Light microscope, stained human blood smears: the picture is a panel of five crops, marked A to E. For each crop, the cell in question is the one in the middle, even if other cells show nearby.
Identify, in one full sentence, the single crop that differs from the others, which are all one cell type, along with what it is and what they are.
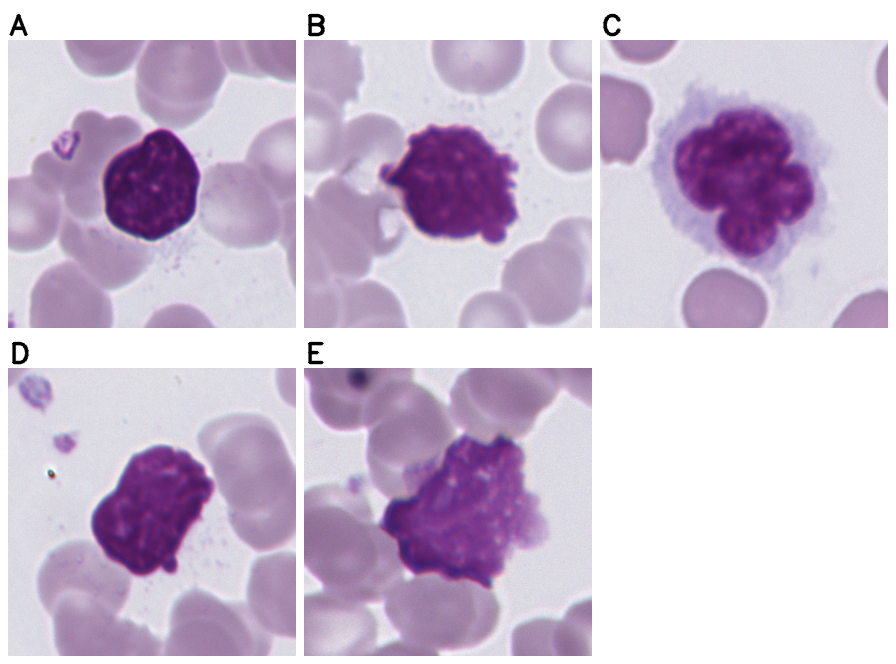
Unlike the other crops, all showing smudge cells, crop C is a hairy cell.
